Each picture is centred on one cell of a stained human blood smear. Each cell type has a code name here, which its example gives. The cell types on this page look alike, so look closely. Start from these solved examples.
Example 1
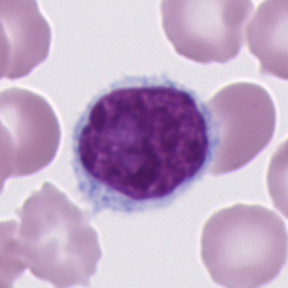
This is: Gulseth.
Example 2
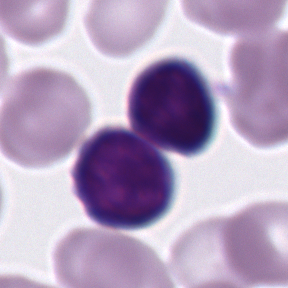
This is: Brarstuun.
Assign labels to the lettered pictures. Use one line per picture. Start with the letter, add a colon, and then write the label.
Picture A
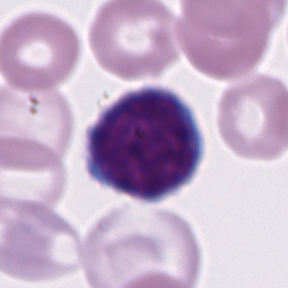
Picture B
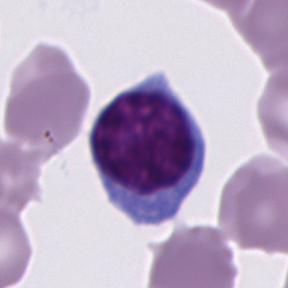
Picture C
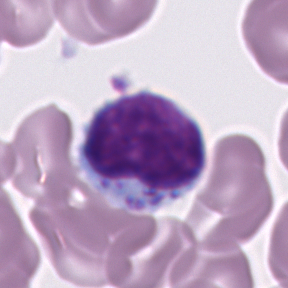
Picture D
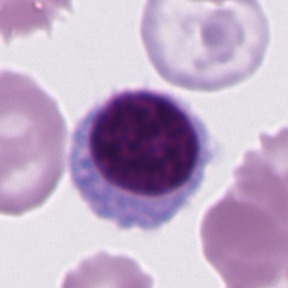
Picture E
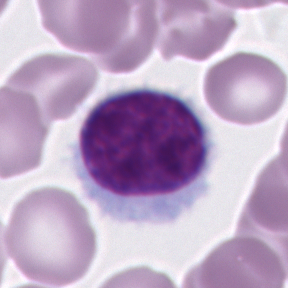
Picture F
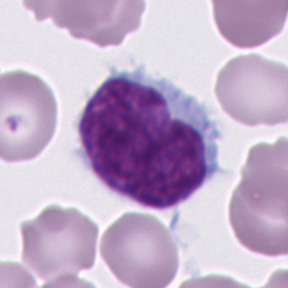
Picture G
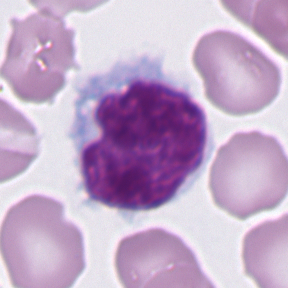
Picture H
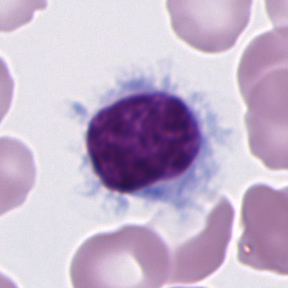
A: Brarstuun.
B: Brarstuun.
C: Brarstuun.
D: Gulseth.
E: Gulseth.
F: Gulseth.
G: Gulseth.
H: Gulseth.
